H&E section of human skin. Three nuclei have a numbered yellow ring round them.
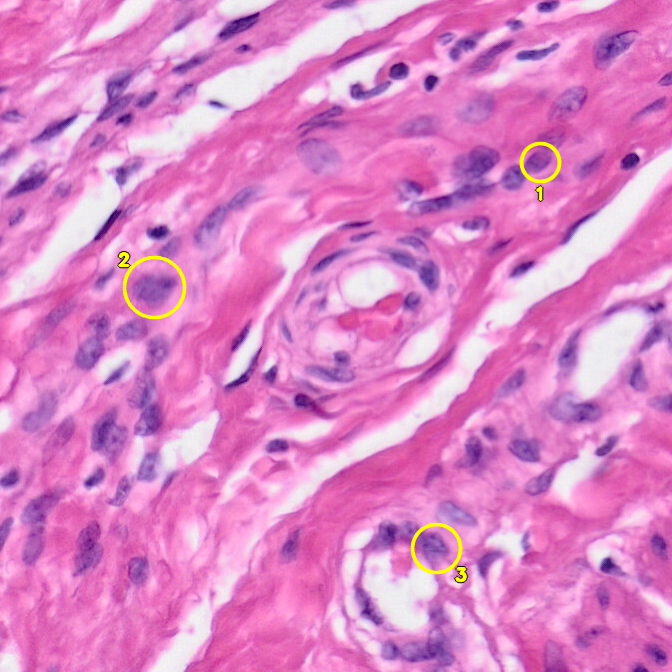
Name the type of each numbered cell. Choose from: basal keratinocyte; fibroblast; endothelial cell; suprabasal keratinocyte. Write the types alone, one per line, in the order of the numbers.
endothelial cell
fibroblast
endothelial cell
